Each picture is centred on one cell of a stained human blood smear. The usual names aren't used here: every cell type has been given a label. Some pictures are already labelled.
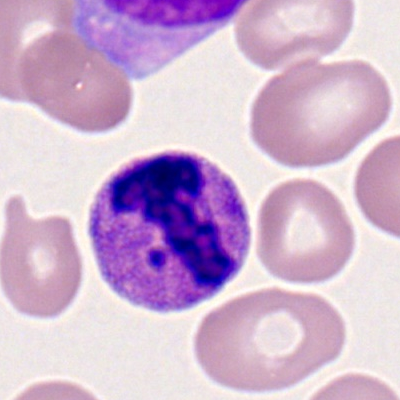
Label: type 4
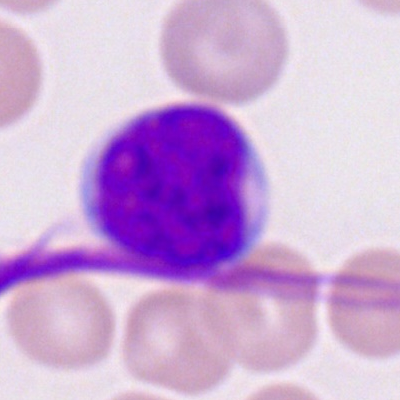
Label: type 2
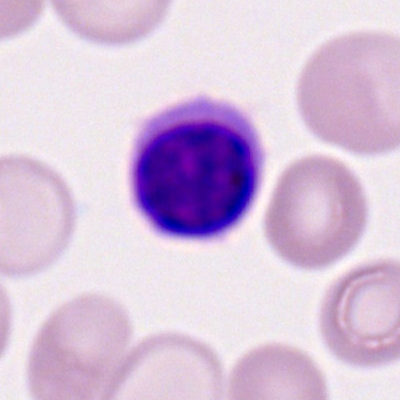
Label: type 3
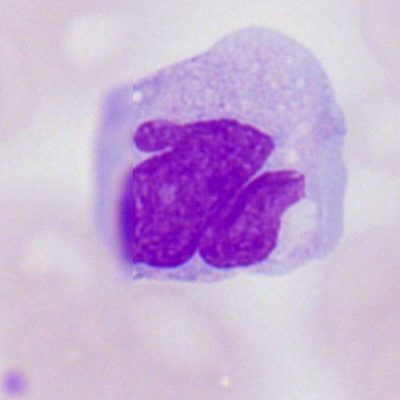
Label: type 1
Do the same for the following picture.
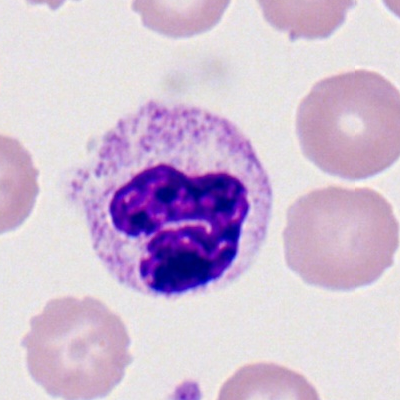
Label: type 4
